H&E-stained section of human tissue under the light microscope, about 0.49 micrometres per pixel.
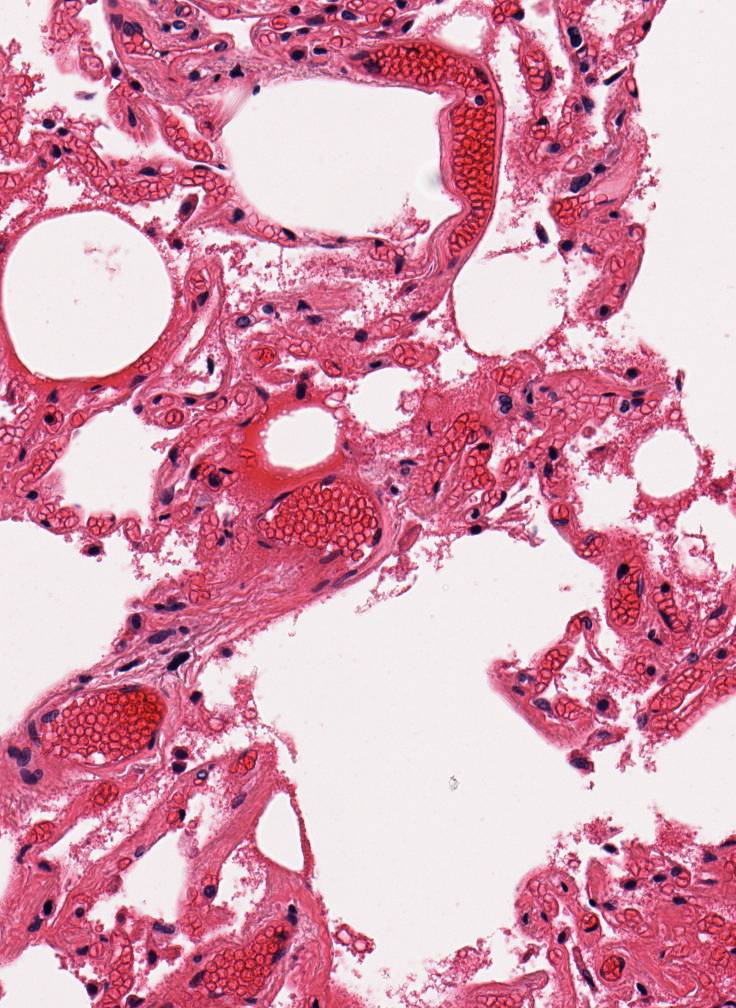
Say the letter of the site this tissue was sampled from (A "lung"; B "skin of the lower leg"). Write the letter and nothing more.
A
